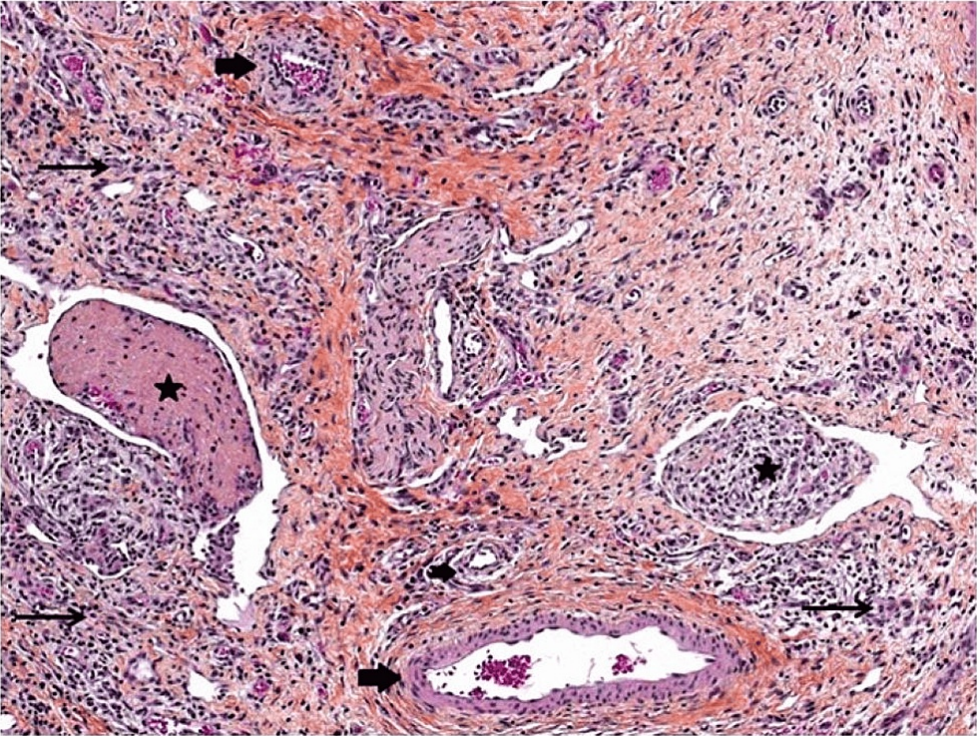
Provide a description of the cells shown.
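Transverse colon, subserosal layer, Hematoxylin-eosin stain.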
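Several small arterioles with thick, concentric walls of spindle cells have open lumens that hold red blood cells. Other, larger vessels have lumens filled by solid pink masses with spindle-shaped cells, and a clear cleft separates each mass from the vessel wall. Between the vessels is loose, highly cellular stroma with many small capillaries and plump spindle cells. Many small dark nuclei of inflammatory cells lie in this stroma. Strands of pink collagen run between the cellular areas.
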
